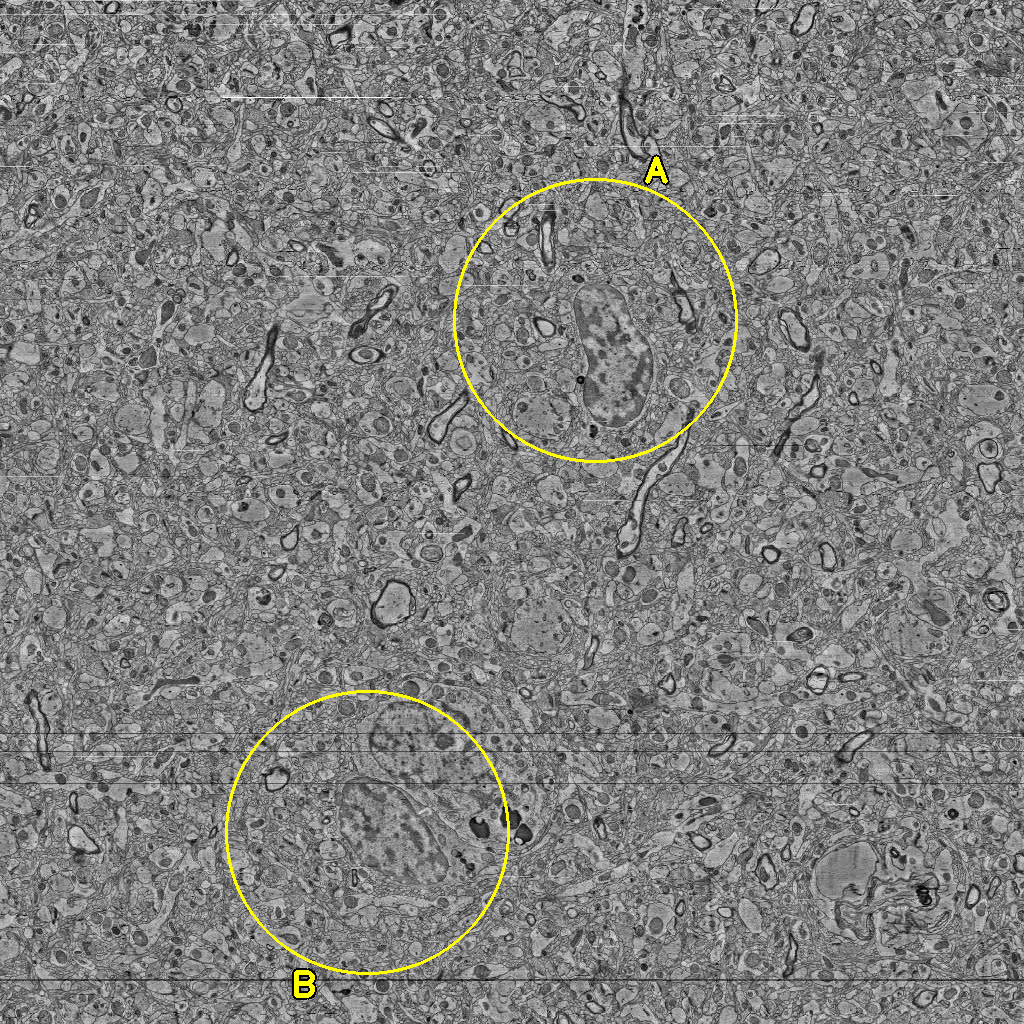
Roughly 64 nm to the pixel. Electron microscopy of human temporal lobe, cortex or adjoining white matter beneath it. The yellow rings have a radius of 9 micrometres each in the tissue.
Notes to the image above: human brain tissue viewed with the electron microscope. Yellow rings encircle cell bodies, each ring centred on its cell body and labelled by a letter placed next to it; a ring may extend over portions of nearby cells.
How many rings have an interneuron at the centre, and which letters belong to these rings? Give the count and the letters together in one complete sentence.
There is no ring centred on an interneuron in this micrograph, and so the count is zero.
